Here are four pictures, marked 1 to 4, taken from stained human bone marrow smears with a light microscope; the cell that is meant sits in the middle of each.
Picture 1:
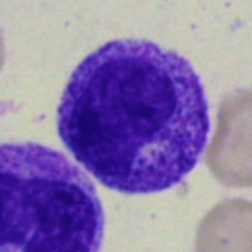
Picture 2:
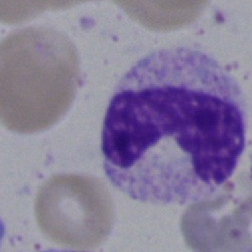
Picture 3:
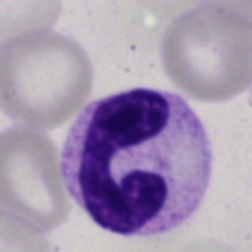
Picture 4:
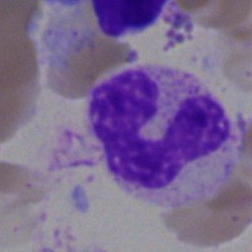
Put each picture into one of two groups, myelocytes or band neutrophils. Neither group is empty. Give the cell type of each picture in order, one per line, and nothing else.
myelocyte
band neutrophil
band neutrophil
band neutrophil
